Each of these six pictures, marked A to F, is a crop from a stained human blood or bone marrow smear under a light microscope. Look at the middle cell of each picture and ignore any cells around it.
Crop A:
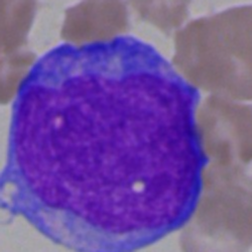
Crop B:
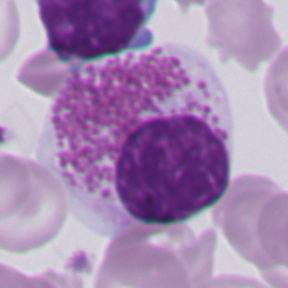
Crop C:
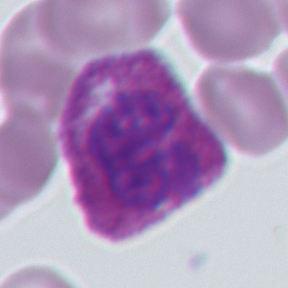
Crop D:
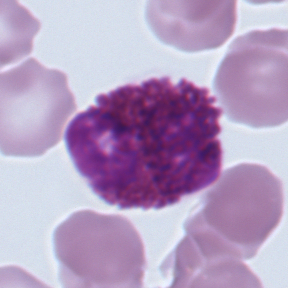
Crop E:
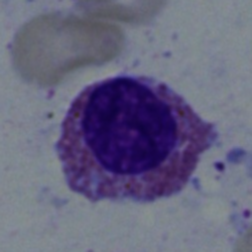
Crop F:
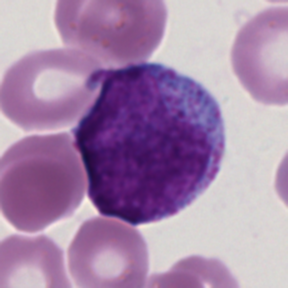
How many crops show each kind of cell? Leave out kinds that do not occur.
eosinophil: 4
blast: 1
promyelocyte: 1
